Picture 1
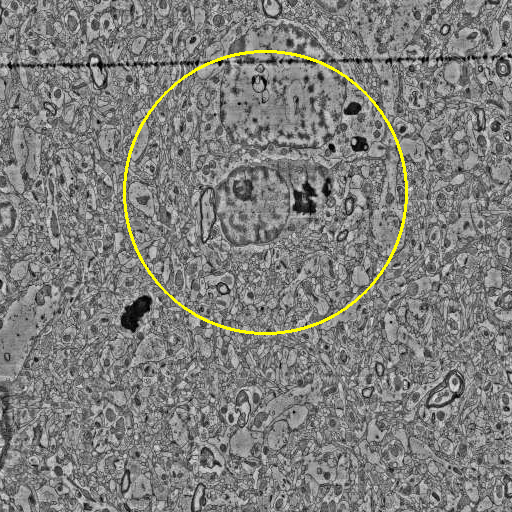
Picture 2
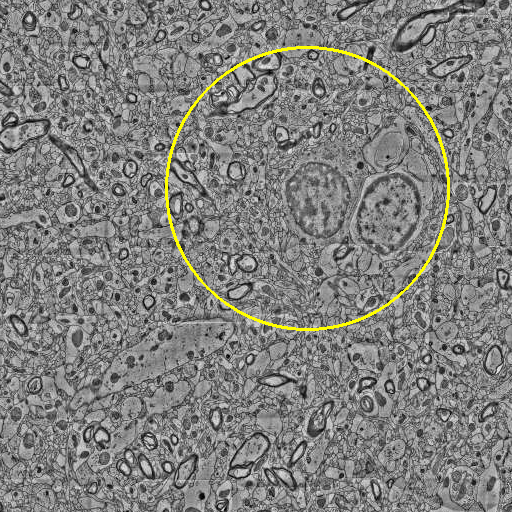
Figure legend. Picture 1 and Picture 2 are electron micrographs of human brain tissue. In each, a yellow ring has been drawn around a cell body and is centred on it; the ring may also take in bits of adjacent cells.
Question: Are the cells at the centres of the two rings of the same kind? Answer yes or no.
yes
